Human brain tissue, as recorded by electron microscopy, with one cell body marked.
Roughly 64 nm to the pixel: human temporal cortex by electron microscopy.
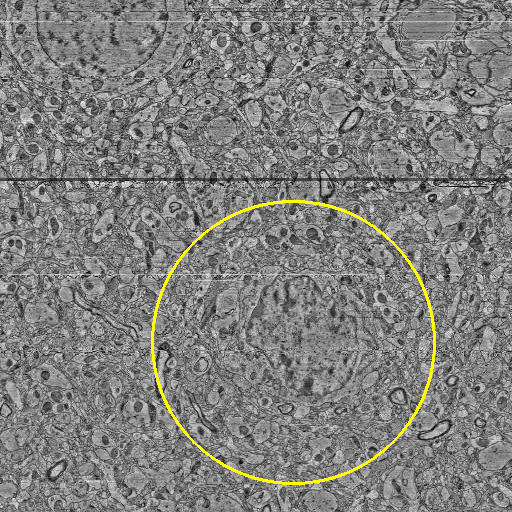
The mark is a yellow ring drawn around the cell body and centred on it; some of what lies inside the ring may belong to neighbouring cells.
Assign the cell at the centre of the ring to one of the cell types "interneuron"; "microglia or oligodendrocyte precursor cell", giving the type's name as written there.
interneuron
